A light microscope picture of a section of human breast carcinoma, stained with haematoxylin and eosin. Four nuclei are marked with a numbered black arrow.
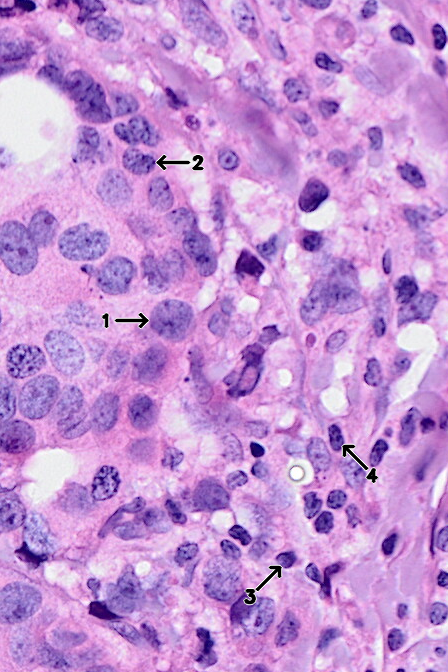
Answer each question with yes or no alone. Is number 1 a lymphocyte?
no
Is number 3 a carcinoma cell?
no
